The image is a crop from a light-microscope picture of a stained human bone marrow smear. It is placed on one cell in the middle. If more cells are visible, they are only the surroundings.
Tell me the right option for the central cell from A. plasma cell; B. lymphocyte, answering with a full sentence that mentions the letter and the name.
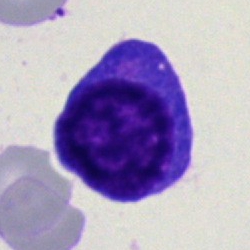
The cell in the centre of the crop is a plasma cell, so option A is the correct one.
